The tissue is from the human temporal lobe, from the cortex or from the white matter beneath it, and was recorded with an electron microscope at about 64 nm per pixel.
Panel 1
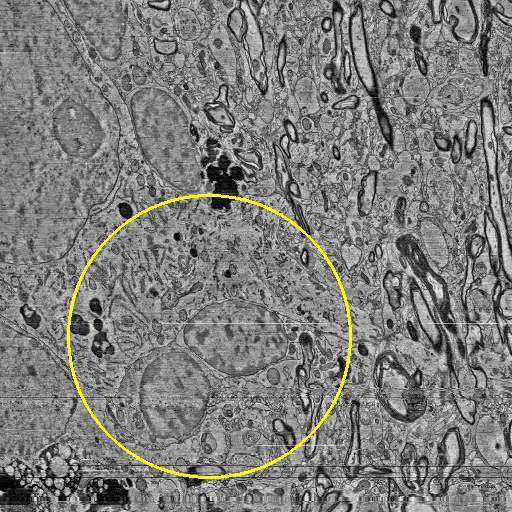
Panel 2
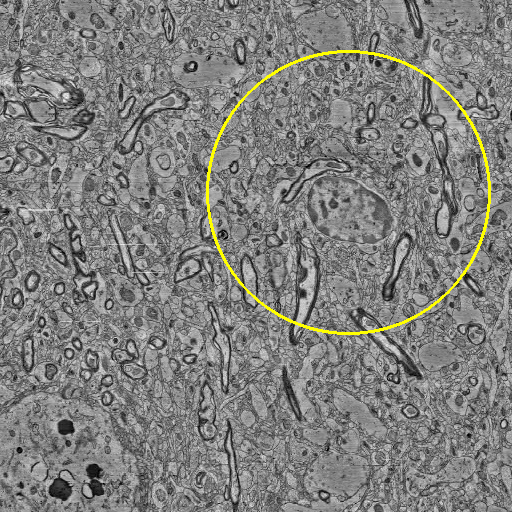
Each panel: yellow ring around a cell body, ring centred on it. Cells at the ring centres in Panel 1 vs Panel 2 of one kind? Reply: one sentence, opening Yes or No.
Yes, Panel 1 and Panel 2 have cells of one kind at the ring centres.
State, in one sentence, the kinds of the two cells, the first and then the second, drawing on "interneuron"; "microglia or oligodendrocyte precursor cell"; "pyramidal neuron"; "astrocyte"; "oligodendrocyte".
Each of the ringed cells, first and second, is a microglial cell or oligodendrocyte precursor cell.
